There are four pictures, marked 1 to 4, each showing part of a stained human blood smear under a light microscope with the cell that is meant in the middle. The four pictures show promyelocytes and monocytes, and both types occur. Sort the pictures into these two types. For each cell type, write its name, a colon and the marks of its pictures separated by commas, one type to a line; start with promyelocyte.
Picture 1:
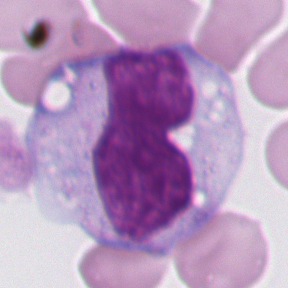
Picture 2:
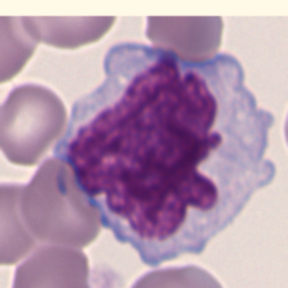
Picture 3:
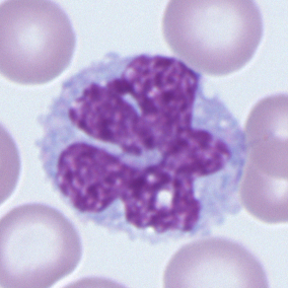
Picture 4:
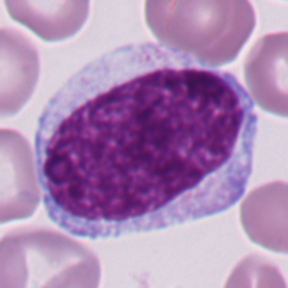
promyelocyte: 4
monocyte: 1, 2, 3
